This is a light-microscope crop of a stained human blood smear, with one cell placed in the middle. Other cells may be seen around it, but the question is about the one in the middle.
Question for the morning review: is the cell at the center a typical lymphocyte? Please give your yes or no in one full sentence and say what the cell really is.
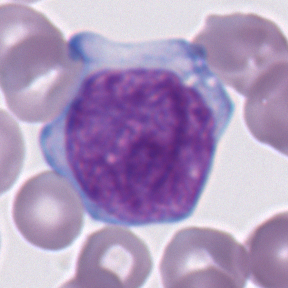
No, the central cell is reported as a myeloblast rather than as a typical lymphocyte.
